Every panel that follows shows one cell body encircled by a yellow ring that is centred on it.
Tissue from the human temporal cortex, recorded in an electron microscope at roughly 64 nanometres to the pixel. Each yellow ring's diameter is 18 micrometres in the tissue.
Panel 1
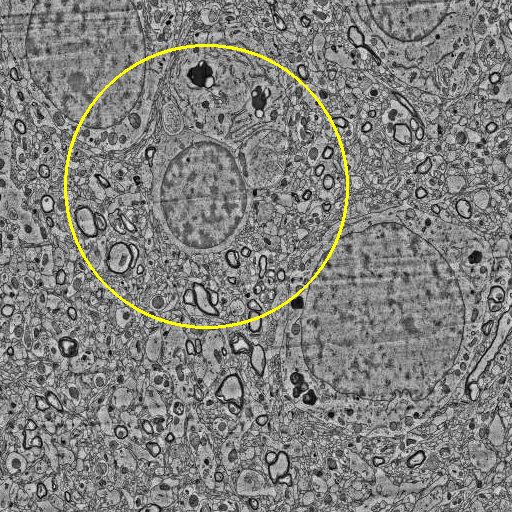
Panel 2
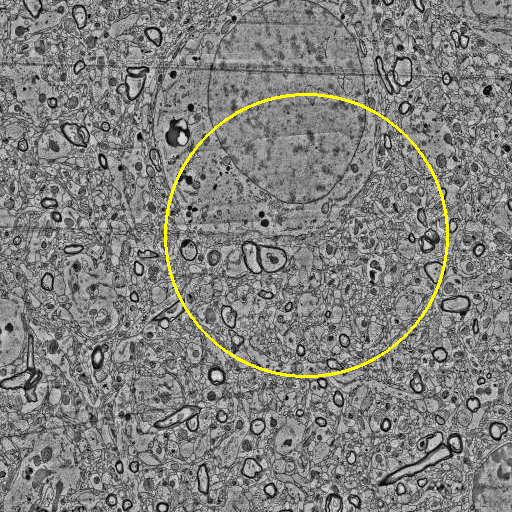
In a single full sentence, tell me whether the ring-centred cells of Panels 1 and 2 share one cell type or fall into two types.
In Panel 1 and Panel 2, the cells at the ring centres share one cell type.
